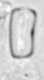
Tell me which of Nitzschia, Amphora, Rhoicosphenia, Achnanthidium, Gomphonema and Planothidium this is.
The picture shows Achnanthidium.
